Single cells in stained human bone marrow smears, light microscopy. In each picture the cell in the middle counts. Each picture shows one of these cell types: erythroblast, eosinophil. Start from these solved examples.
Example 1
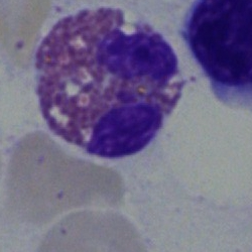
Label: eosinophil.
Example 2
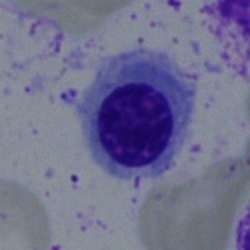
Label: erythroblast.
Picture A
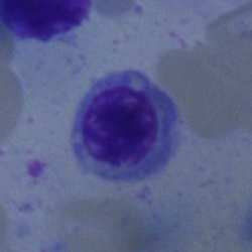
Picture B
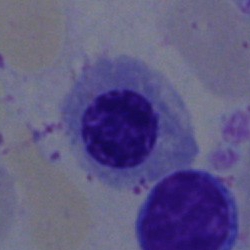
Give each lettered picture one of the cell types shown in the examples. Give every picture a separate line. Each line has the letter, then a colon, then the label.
A: erythroblast.
B: erythroblast.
